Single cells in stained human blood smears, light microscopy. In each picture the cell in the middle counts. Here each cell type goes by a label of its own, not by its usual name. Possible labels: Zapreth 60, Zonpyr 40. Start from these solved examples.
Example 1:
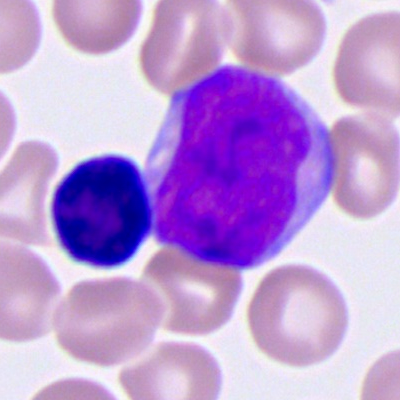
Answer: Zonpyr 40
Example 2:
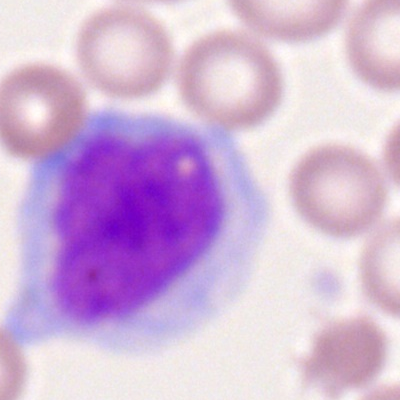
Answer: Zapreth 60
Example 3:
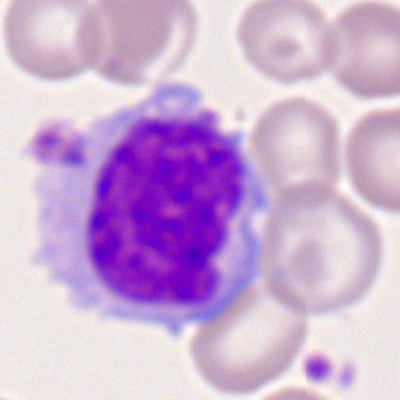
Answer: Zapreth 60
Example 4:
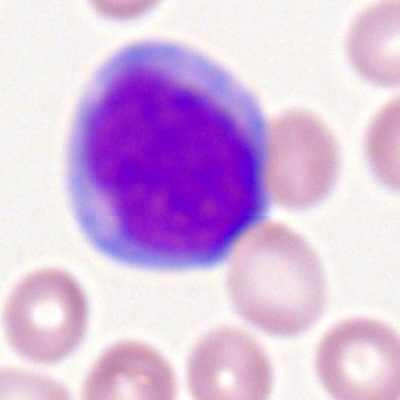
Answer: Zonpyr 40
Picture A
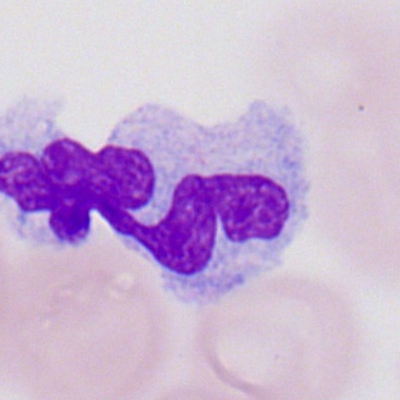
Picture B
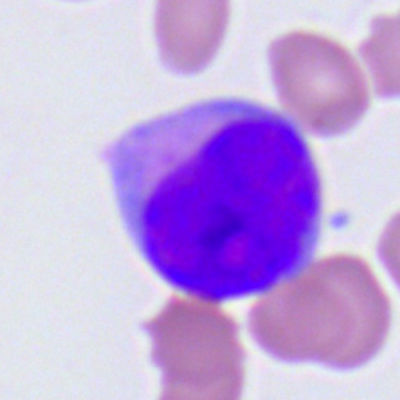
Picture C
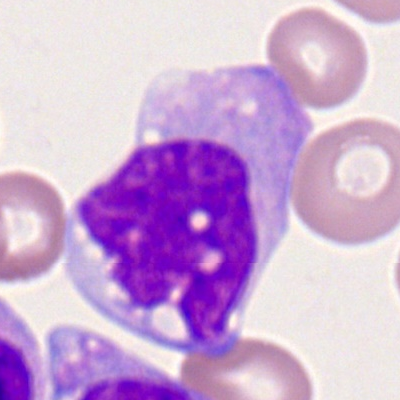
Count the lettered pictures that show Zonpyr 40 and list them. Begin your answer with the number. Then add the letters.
1: B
